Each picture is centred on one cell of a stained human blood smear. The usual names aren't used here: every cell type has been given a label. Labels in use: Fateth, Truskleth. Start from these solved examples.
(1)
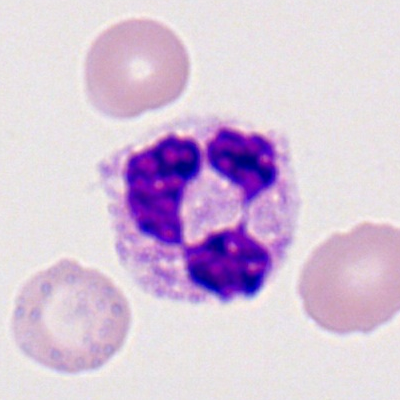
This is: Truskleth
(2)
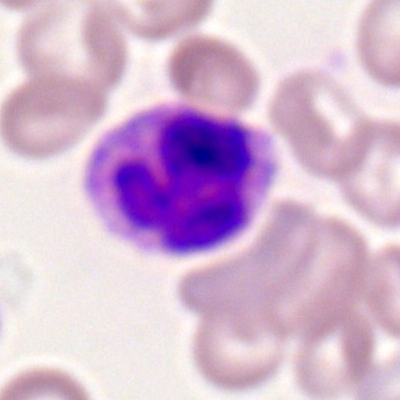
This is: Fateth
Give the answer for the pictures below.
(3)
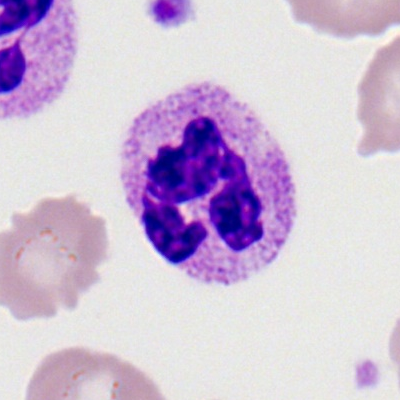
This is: Truskleth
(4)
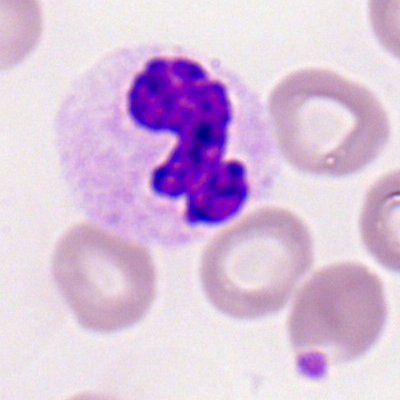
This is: Truskleth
